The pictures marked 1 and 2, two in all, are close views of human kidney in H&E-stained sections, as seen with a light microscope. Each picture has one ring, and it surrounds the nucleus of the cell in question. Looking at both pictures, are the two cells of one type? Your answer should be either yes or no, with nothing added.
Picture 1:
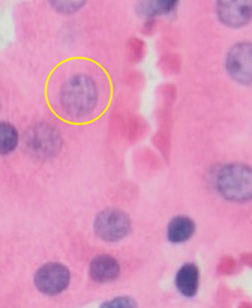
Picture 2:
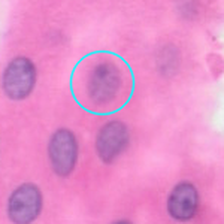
yes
